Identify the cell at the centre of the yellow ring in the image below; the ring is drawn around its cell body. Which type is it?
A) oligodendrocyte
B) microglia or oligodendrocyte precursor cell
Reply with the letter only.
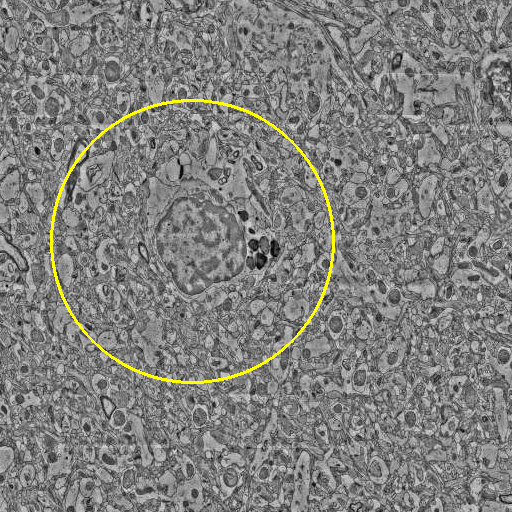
B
